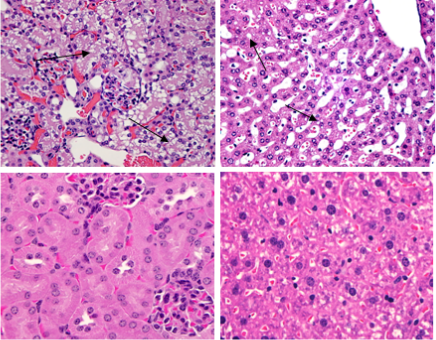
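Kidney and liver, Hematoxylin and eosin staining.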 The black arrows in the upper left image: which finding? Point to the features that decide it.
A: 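Tubular vacuolization. The upper left tissue has tubules with pale, clear, bubbly cytoplasm. The arrows point into these pale vacuolated tubules. The lower left image shows tubules with compact pink cytoplasm and no clear vacuoles.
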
